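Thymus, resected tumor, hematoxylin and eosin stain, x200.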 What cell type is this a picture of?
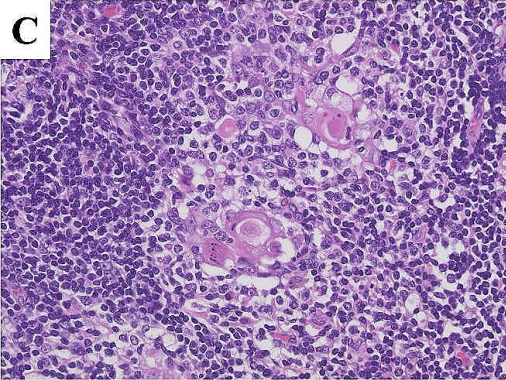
Lymphocytes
